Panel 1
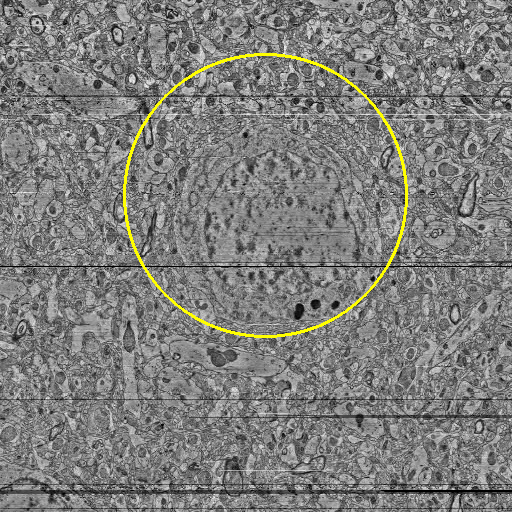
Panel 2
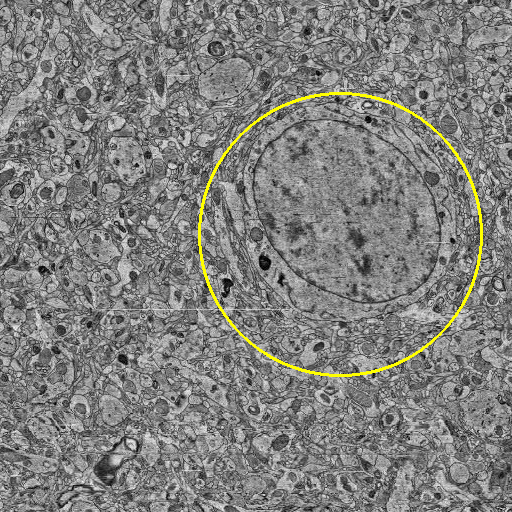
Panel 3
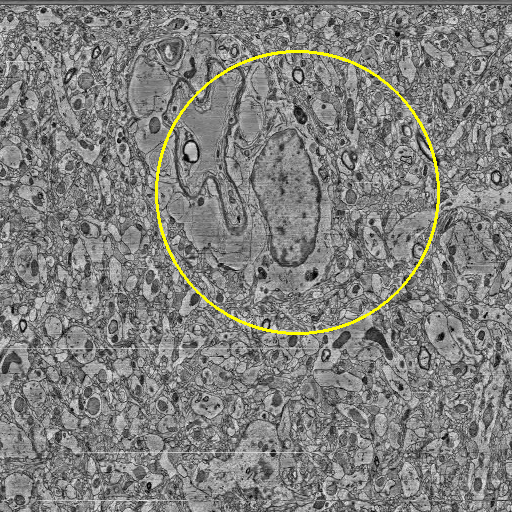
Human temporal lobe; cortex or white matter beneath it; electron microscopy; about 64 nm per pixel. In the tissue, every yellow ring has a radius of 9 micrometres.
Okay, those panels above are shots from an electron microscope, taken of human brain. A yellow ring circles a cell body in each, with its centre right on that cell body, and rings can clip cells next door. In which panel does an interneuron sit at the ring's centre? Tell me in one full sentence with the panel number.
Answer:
The cell you asked for sits at the ring's centre in panel 1.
